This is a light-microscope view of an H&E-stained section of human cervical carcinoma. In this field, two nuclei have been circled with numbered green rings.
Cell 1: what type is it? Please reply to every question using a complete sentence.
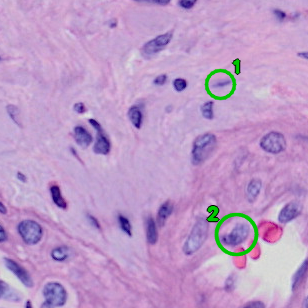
The cell that goes by number 1 is a fibroblast.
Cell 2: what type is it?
The marked cell bearing number 2 is an endothelial cell.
